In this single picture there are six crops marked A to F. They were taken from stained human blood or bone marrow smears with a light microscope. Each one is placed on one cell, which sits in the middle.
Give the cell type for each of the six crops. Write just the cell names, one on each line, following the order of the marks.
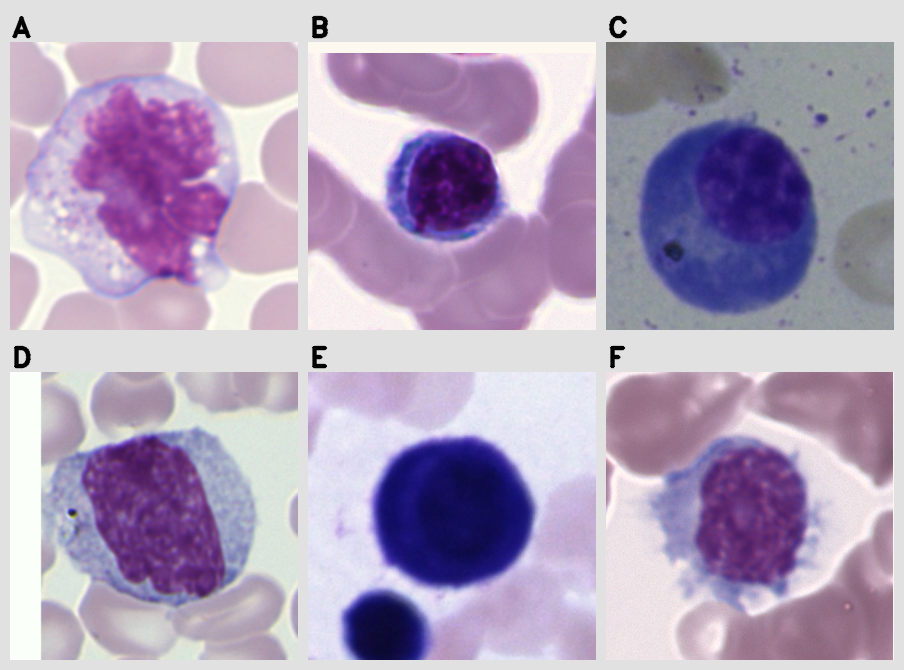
monocyte
plasma cell
plasma cell
monocyte
plasma cell
hairy cell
